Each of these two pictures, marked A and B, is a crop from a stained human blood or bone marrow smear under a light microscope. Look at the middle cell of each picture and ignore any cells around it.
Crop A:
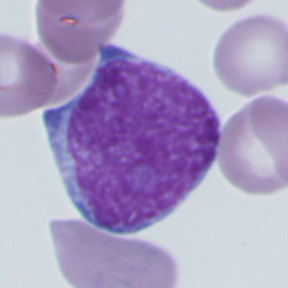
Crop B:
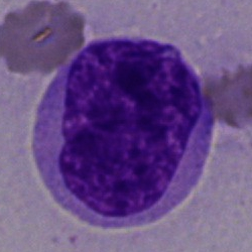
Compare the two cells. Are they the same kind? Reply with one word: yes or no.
yes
